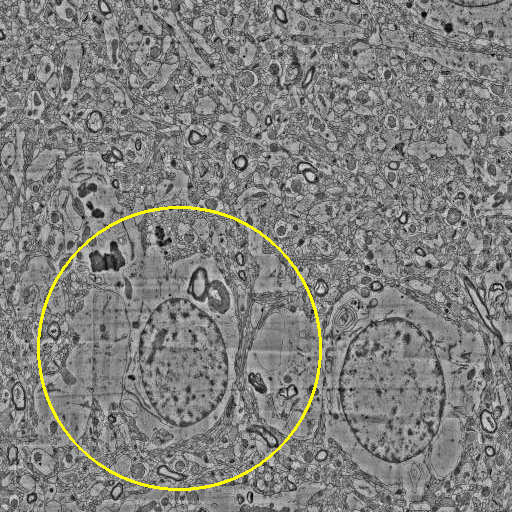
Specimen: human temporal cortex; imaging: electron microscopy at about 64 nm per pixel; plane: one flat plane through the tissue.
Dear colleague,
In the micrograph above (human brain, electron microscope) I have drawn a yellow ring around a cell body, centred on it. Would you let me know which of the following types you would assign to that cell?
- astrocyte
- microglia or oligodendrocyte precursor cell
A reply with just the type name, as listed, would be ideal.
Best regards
astrocyte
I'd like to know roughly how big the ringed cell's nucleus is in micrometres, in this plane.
The nucleus is approximately 8 micrometers long by 6 micrometers wide in this plane.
